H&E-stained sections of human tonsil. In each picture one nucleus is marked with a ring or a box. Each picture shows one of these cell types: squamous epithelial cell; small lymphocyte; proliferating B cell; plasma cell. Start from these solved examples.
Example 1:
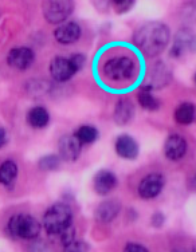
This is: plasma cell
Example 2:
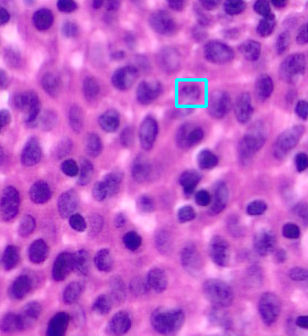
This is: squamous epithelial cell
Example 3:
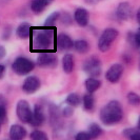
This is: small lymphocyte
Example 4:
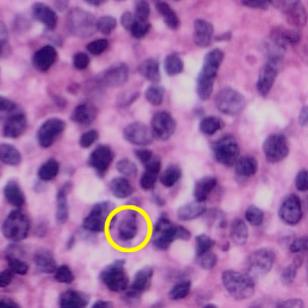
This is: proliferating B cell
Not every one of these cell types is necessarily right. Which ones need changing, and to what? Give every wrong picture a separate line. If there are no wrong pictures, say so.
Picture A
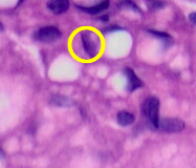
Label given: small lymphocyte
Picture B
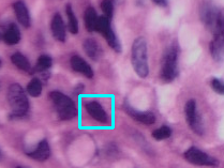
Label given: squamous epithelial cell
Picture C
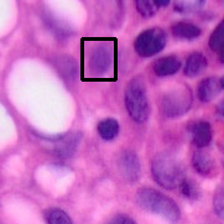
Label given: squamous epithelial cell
Wrong: A (small lymphocyte); correct: squamous epithelial cell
